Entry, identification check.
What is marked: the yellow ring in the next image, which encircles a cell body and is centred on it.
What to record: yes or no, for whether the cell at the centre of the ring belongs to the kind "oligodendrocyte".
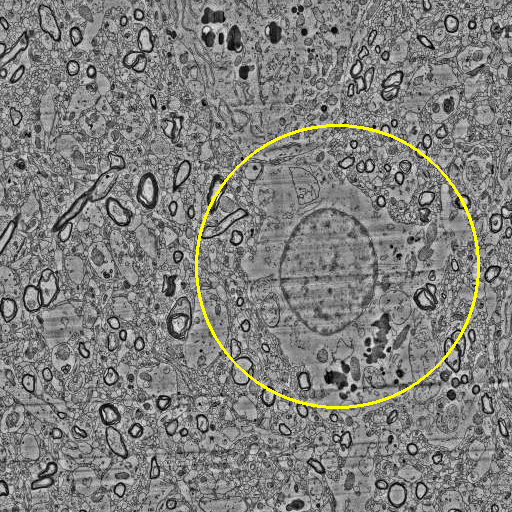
No, it belongs to another kind.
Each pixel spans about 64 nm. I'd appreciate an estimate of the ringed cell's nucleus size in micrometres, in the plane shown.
The nucleus is approximately 8 micrometers long by 6 micrometers wide in this plane.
